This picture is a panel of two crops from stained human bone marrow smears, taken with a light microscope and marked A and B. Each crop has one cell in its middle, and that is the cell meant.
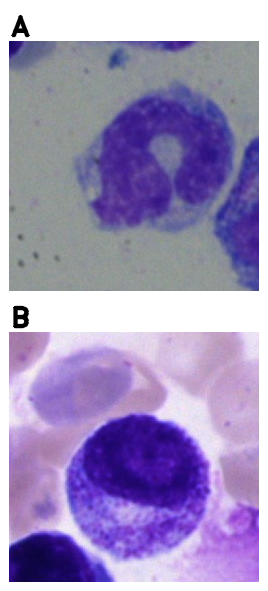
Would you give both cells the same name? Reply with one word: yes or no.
no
